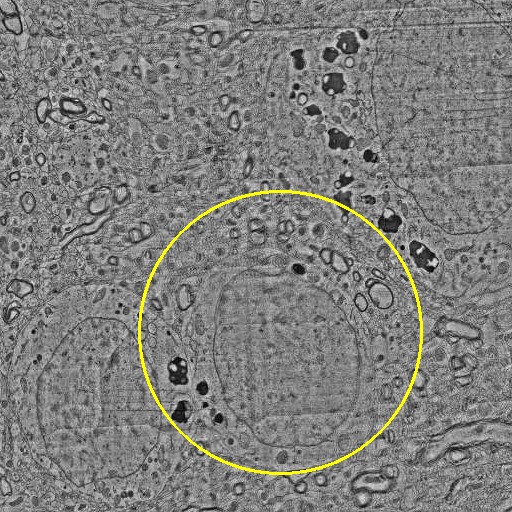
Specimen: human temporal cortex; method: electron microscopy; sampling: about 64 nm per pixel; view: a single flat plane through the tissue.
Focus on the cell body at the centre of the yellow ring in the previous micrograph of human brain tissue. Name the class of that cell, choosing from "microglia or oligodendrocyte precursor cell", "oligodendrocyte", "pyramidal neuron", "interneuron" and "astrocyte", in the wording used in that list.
pyramidal neuron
